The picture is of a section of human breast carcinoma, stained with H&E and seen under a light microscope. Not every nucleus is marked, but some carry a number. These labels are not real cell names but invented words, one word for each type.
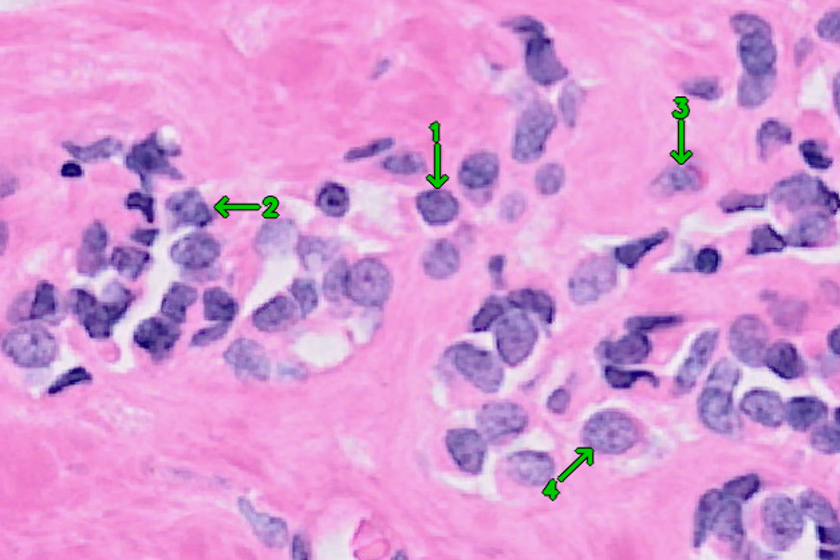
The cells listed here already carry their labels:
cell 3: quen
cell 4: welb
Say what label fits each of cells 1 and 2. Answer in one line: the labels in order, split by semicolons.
welb; welb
